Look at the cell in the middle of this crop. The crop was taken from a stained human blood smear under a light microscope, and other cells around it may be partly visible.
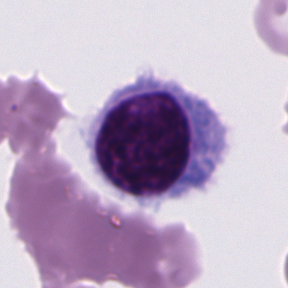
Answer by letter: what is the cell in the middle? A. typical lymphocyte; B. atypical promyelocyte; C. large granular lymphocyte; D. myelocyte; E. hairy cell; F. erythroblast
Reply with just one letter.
E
